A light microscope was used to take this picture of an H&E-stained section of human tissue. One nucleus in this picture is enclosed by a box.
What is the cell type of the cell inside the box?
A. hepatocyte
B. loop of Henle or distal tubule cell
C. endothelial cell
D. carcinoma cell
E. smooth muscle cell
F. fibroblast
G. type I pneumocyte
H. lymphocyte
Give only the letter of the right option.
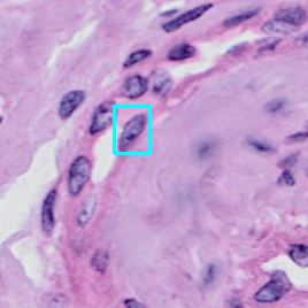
C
